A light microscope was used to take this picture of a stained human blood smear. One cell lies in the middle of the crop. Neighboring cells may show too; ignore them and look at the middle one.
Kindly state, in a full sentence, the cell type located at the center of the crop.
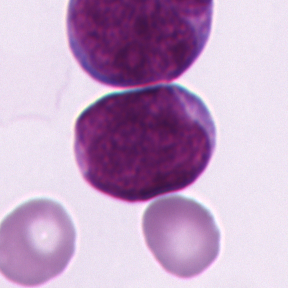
The cell at the middle of the crop is recognized as a myeloblast.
